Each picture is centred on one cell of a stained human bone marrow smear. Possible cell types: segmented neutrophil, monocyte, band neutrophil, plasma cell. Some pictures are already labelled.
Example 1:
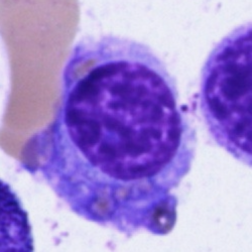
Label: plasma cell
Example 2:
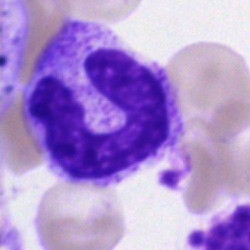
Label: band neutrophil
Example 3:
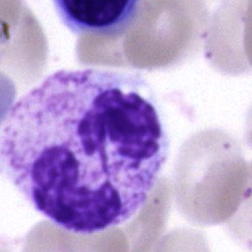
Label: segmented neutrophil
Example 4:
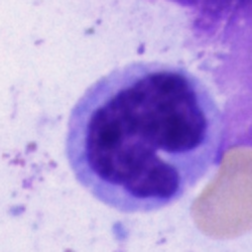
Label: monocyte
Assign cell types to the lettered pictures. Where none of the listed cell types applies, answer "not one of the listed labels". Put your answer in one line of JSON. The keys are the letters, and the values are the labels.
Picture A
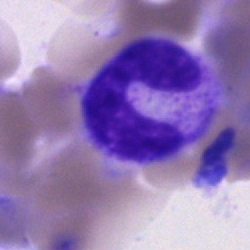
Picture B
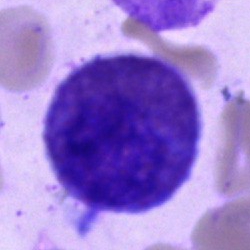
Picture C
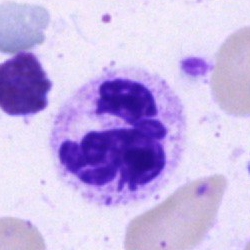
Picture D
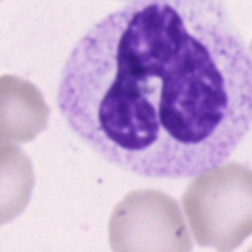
{"A": "band neutrophil", "B": "not one of the listed labels", "C": "segmented neutrophil", "D": "band neutrophil"}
